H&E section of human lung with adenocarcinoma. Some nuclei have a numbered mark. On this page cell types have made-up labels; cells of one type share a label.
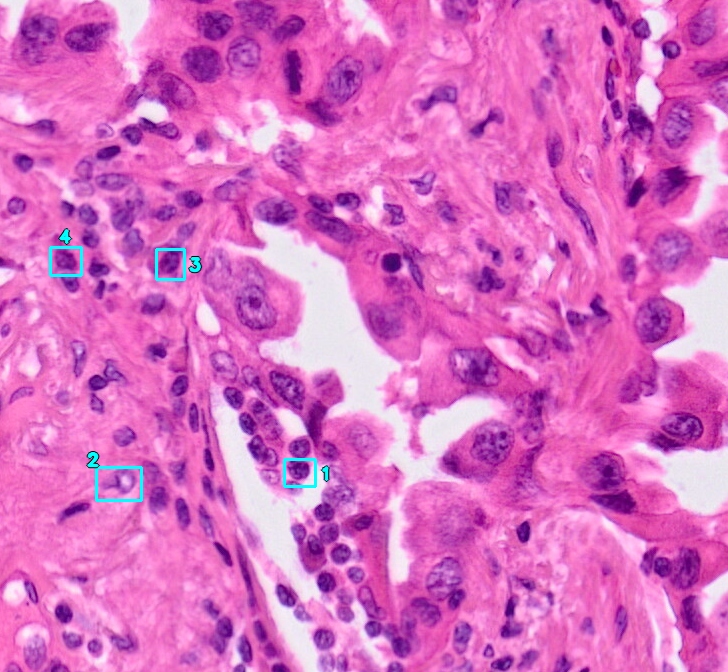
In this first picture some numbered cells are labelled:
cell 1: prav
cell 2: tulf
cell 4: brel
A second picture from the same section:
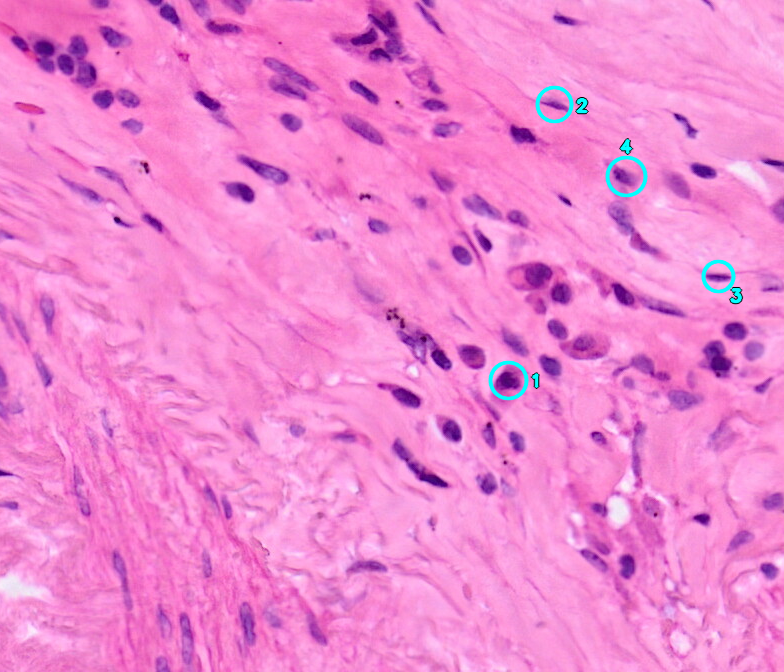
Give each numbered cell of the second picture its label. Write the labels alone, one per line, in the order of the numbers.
brel
tulf
tulf
brel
